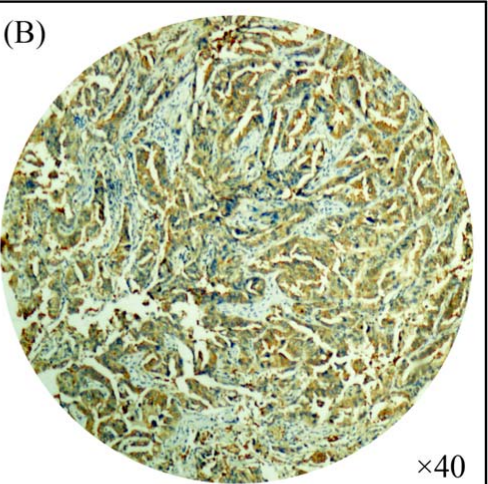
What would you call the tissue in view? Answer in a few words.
Adenocarcinoma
